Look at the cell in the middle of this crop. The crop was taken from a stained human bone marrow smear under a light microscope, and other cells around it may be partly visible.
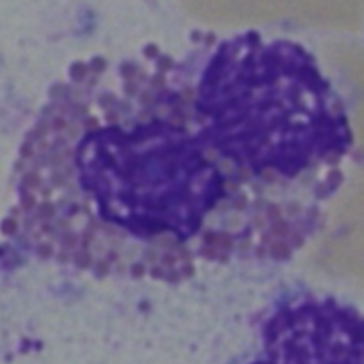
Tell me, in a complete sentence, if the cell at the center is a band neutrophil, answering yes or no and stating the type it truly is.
No, the cell in the centre is to be called an eosinophil instead of a band neutrophil.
